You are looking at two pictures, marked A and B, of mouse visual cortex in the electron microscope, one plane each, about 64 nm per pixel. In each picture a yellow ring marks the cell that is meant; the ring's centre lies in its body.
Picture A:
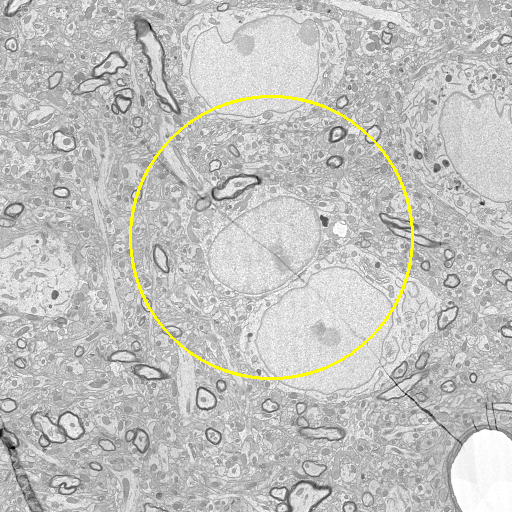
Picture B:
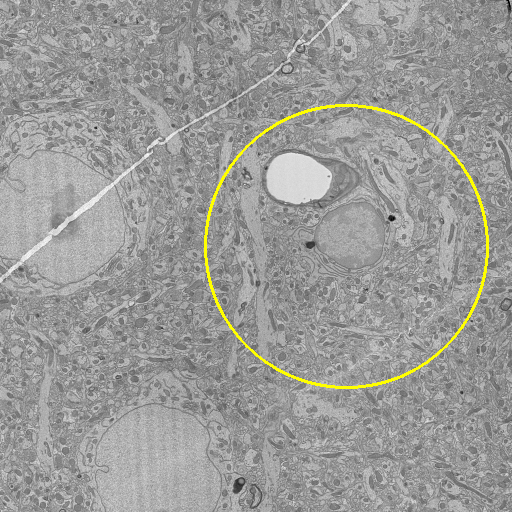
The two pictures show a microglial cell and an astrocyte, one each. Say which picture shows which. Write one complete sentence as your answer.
In picture A the cell is an astrocyte; in picture B, a microglial cell.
